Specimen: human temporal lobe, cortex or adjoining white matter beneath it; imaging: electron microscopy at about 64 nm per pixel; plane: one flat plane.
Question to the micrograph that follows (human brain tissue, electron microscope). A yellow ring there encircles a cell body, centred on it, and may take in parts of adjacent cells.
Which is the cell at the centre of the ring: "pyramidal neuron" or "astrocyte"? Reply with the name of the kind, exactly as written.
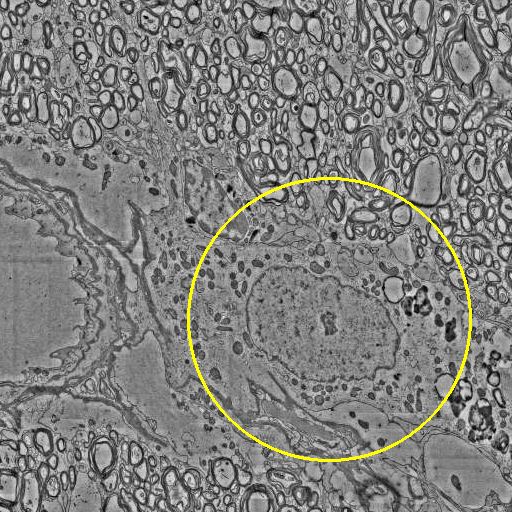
astrocyte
